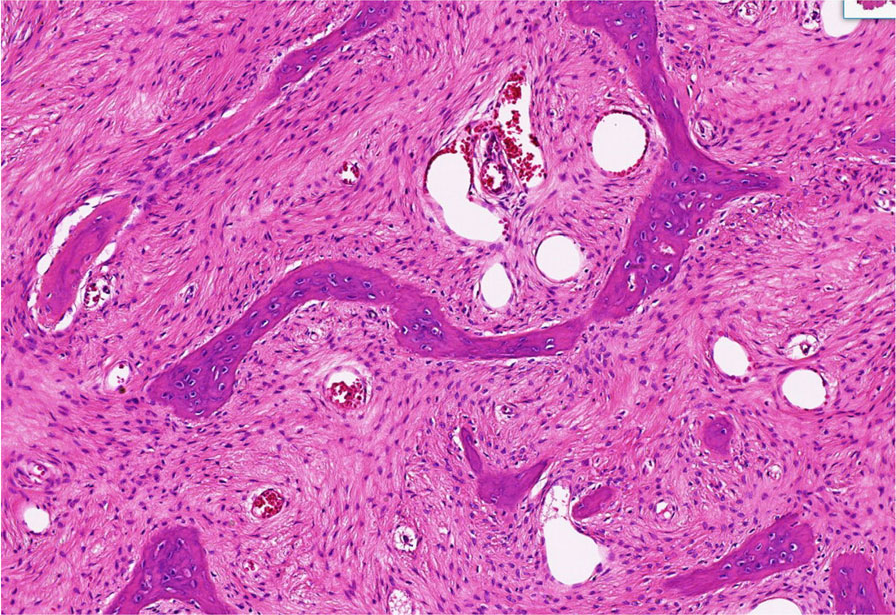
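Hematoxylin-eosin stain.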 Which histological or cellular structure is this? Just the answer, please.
Irregular bone trabecula without osteoblasts.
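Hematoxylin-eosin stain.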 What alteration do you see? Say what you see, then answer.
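Curved, branching bone trabeculae lie scattered in a fibrous stroma. The stroma is made of spindle-shaped cells.
Fibrous dysplasia.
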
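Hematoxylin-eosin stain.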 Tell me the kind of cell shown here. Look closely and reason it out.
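The stroma is filled with elongated, spindle-shaped nuclei. The nuclei are small and uniform, without marked atypia. So: bland spindle cells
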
